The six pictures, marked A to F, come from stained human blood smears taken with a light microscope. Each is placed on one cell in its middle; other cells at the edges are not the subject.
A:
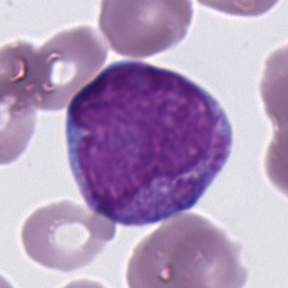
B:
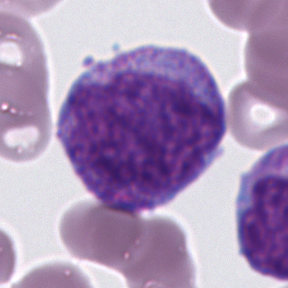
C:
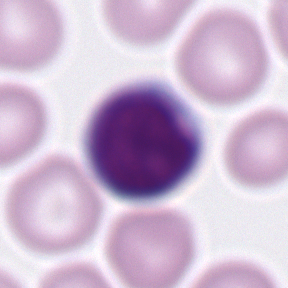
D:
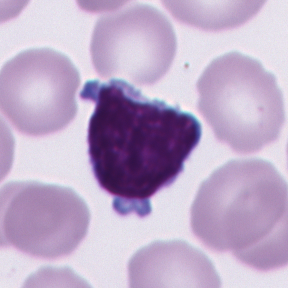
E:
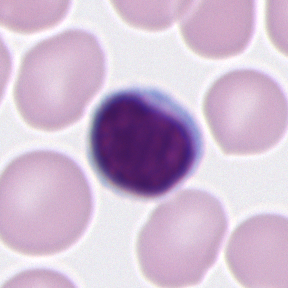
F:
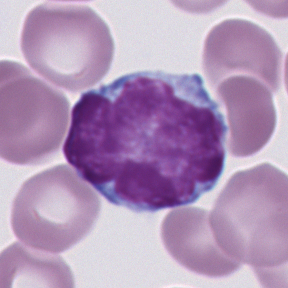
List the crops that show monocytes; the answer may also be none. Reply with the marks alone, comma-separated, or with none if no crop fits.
none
